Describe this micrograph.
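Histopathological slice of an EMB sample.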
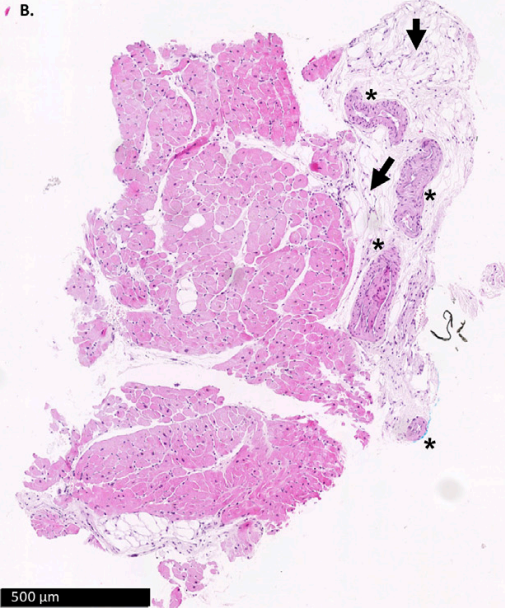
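Section of heart muscle in which large pink fields of cardiomyocytes, cut in varied orientations and bearing small dark nuclei, make up most of the tissue. Along the right edge lies pale, loose fatty tissue of adipocytes that appear as empty polygonal spaces with thin walls. Several elongated arteries with denser pink walls run within this fatty tissue.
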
